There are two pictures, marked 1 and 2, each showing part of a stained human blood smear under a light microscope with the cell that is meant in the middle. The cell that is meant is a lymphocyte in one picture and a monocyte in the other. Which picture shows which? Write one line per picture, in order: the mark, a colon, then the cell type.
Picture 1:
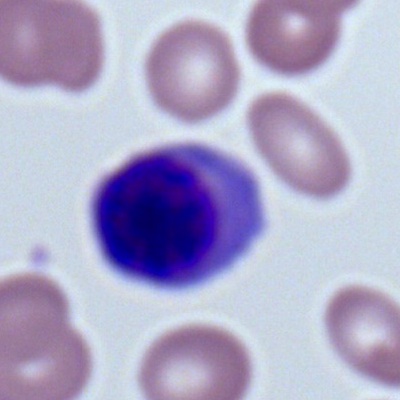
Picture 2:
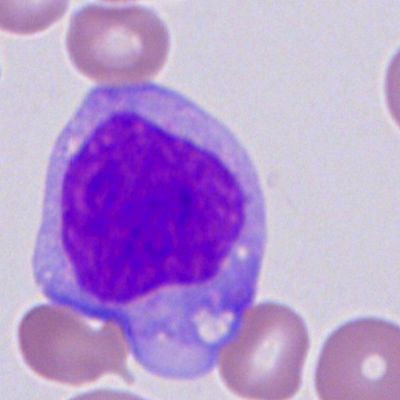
1: lymphocyte
2: monocyte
